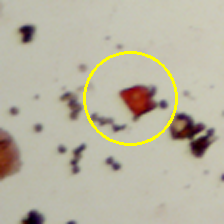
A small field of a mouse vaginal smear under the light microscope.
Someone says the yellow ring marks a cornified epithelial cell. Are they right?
They are right: it is a cornified epithelial cell.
